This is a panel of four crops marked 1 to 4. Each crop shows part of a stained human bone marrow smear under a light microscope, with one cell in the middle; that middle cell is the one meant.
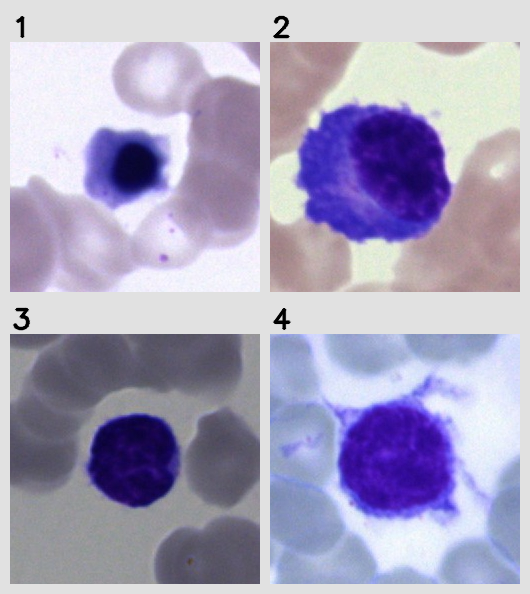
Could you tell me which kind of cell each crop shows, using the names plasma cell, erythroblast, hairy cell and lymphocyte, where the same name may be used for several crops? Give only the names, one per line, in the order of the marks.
erythroblast
plasma cell
lymphocyte
hairy cell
